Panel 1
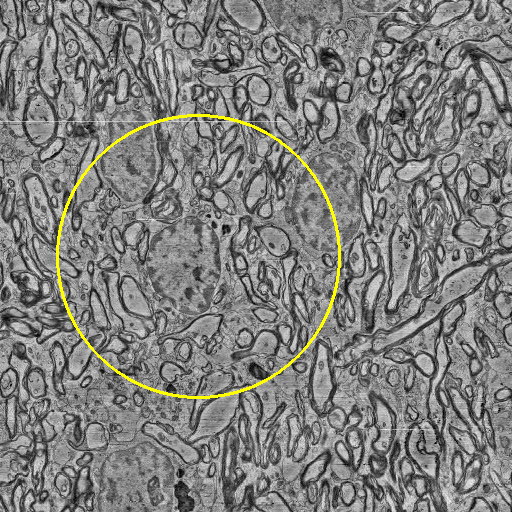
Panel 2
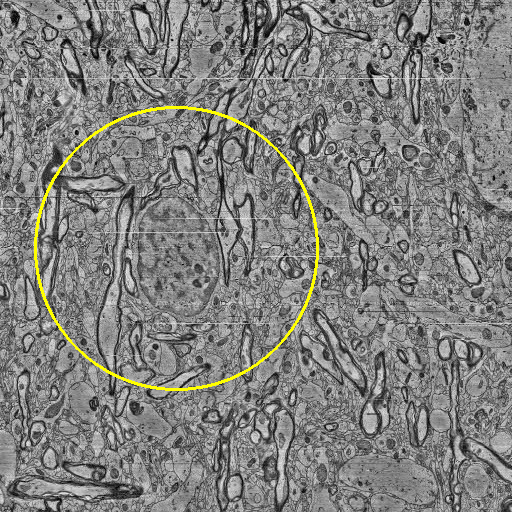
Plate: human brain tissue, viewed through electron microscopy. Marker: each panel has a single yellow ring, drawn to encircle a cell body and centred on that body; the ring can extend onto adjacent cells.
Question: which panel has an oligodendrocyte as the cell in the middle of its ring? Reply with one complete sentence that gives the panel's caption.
Panel 2 is where the requested cell sits at the centre of the ring.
